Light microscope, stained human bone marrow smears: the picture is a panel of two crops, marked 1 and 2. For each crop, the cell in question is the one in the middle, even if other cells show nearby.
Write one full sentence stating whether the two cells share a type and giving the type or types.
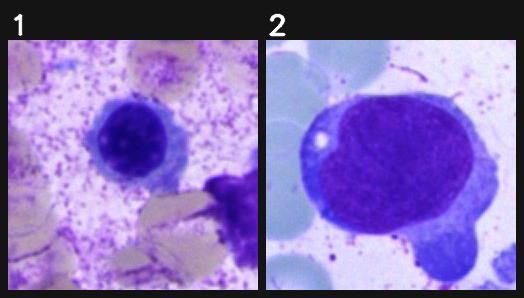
No, in fact crop 1 shows an erythroblast, and crop 2 shows a blast.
